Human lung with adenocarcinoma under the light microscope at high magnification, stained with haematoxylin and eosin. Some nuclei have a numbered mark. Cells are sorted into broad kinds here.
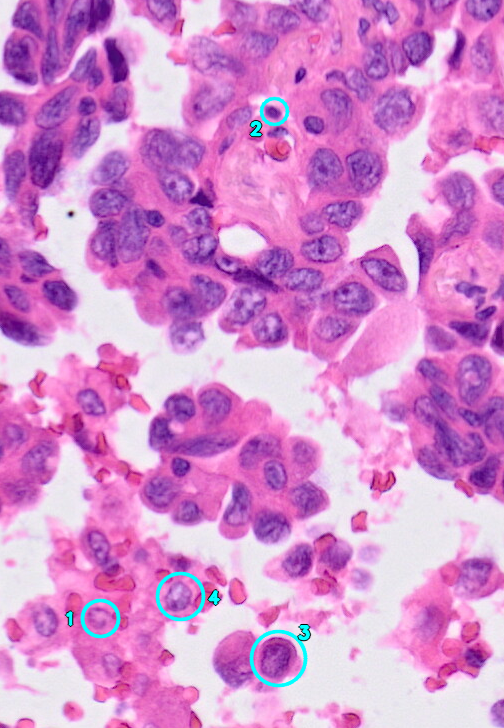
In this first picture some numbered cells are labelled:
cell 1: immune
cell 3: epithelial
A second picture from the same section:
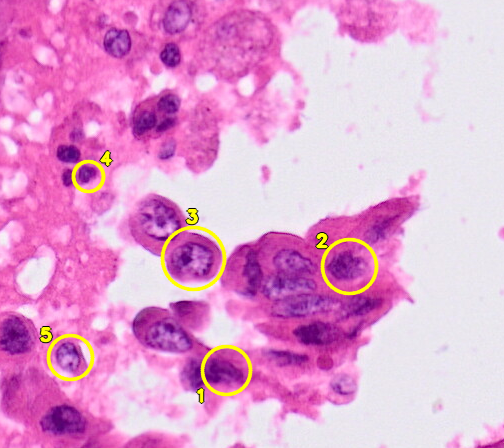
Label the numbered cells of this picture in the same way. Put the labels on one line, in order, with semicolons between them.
epithelial; epithelial; epithelial; immune; immune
